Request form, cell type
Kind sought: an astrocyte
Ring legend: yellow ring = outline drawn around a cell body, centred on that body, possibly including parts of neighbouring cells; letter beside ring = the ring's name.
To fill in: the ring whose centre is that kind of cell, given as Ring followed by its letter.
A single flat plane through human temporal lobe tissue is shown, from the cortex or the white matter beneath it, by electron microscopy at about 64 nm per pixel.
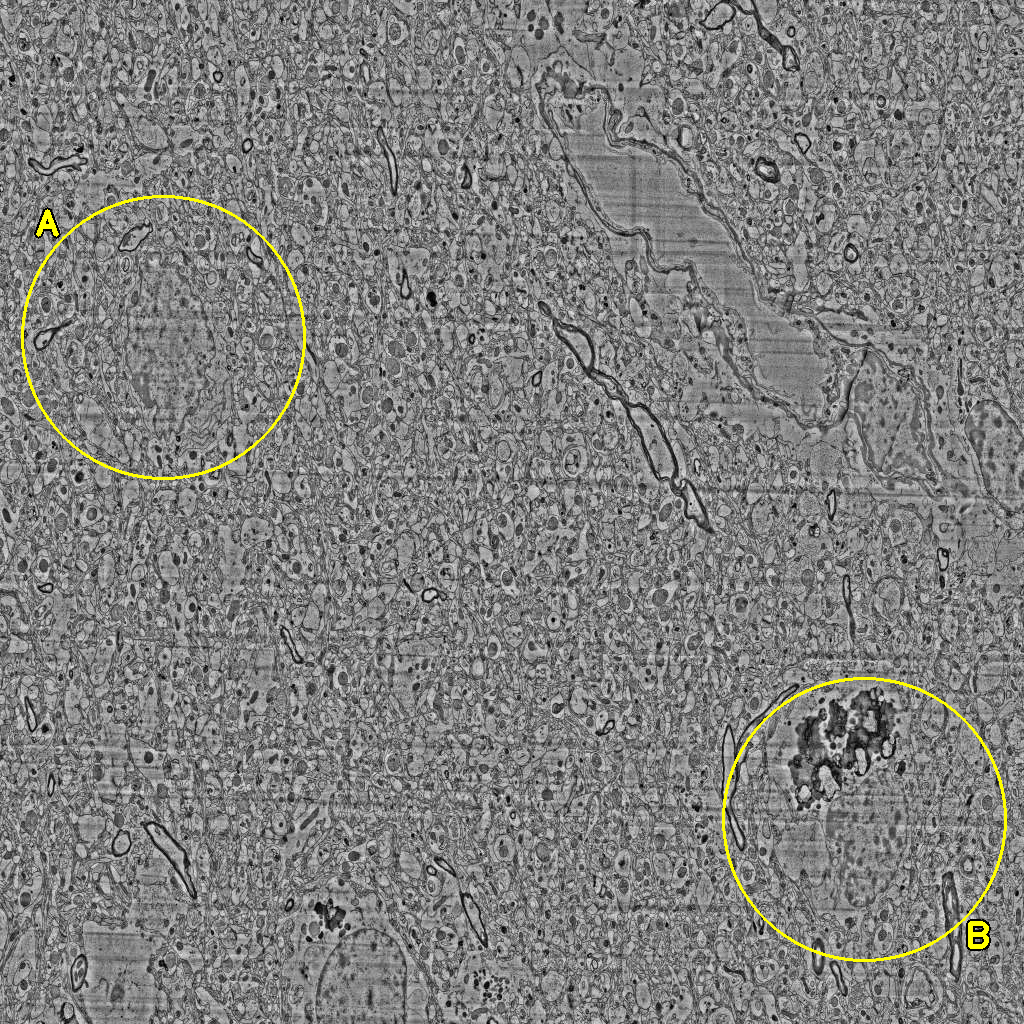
Ring B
